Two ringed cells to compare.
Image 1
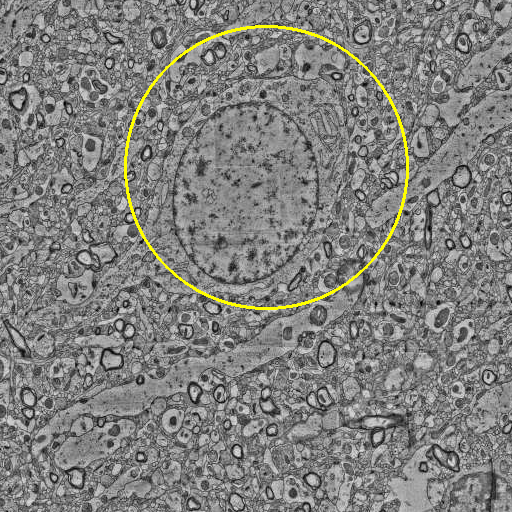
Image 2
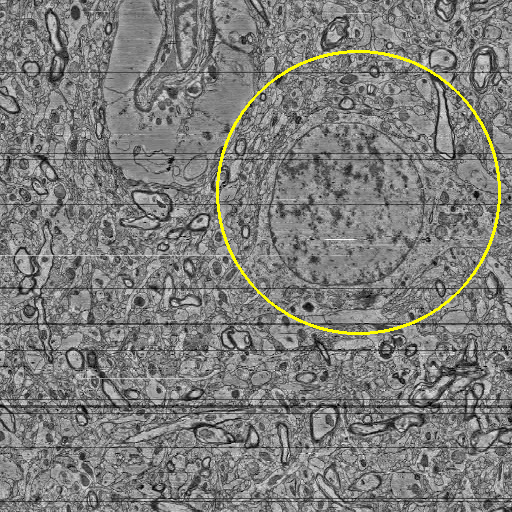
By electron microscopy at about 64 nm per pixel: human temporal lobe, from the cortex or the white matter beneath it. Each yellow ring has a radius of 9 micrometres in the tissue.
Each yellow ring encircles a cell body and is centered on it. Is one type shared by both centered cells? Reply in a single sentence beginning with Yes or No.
No, two types are found among the cells at the centers of the rings.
